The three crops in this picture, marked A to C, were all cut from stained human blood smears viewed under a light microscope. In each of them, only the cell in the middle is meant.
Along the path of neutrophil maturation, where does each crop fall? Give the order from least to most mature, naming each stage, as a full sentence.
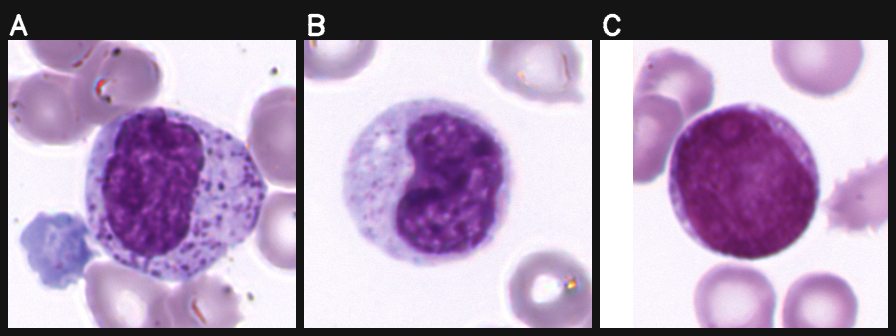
From least to most mature, the crops are ordered crop C (a myeloblast), crop A (a myelocyte) and crop B (a metamyelocyte).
